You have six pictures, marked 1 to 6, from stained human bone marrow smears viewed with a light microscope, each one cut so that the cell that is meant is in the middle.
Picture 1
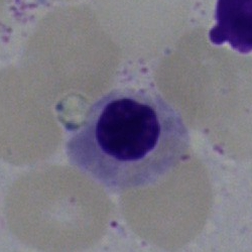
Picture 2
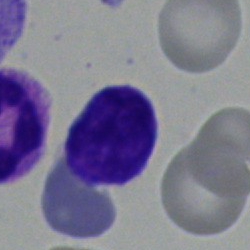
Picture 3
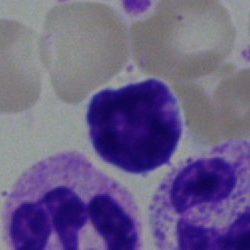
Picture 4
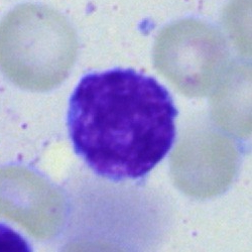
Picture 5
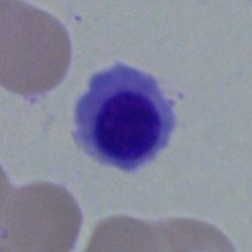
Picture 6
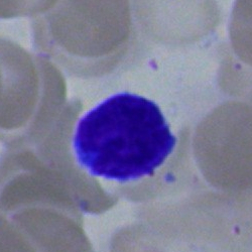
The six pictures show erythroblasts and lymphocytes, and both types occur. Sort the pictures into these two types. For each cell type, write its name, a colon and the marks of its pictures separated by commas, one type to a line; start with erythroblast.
erythroblast: 1, 5
lymphocyte: 2, 3, 4, 6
